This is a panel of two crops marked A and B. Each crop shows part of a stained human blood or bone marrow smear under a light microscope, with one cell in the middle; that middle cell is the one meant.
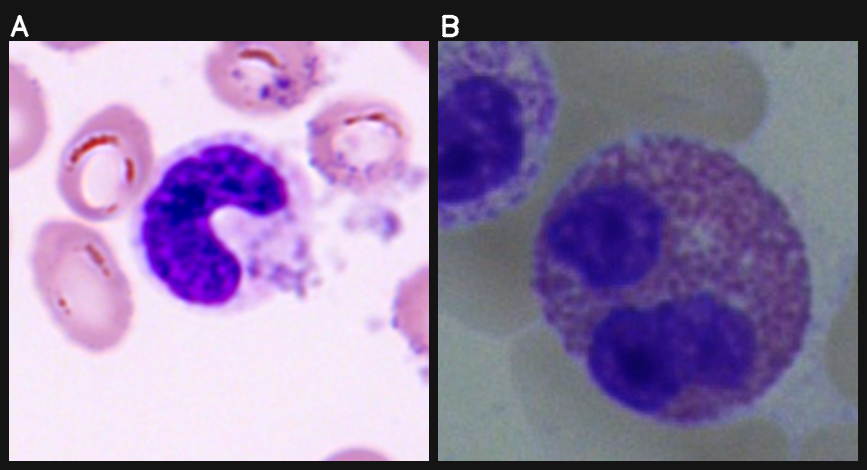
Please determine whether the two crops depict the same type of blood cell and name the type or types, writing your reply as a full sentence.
No, the correct reading is a band neutrophil in crop A and an eosinophil in crop B.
